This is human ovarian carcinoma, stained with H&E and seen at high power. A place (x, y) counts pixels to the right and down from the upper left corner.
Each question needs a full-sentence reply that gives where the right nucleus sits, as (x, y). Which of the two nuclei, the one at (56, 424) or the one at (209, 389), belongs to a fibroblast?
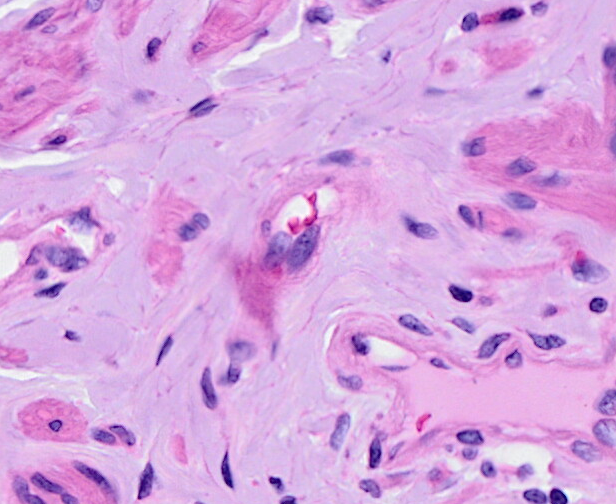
Of the two candidate nuclei, the one at (209, 389) is that of a fibroblast.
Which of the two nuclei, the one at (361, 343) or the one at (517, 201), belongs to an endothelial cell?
Of the two nuclei, the nucleus belonging to an endothelial cell is located at (361, 343).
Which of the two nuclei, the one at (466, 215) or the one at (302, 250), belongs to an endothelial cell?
The nucleus at (302, 250) is assigned to an endothelial cell.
